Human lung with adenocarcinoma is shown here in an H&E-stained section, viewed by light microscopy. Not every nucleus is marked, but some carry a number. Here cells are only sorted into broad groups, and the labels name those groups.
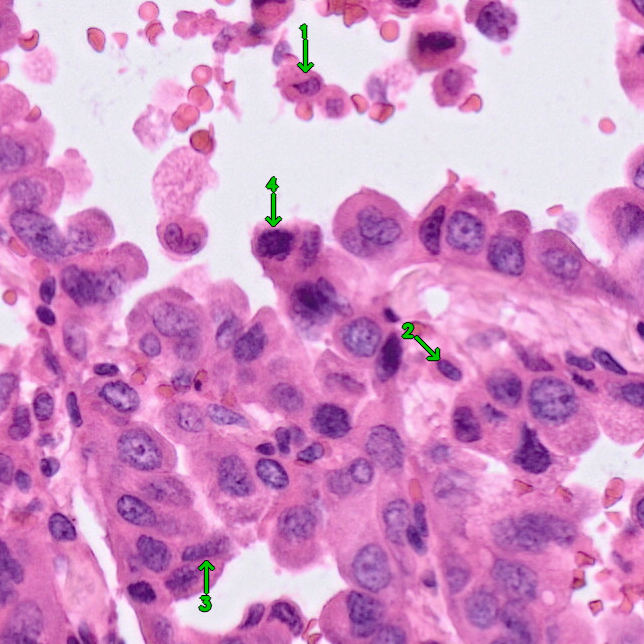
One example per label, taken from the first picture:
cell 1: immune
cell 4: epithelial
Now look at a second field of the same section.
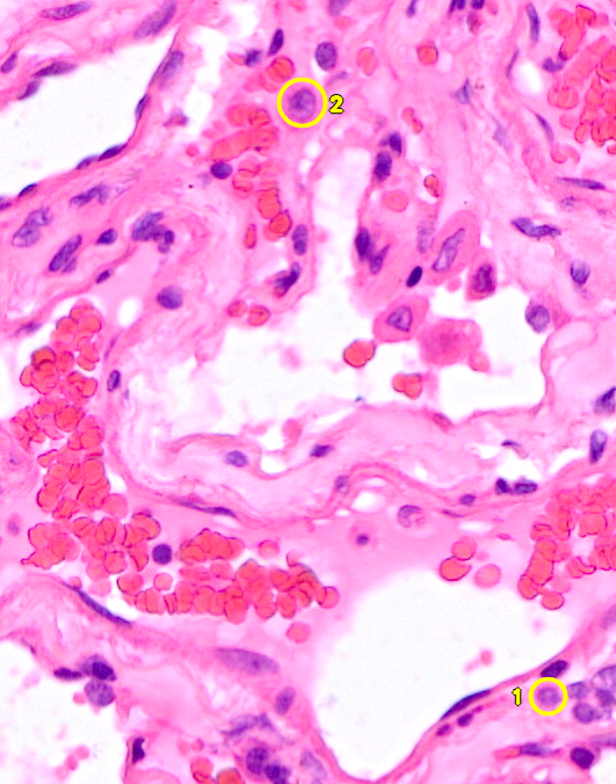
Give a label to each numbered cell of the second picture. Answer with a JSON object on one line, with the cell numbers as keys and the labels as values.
{"1": "immune", "2": "immune"}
